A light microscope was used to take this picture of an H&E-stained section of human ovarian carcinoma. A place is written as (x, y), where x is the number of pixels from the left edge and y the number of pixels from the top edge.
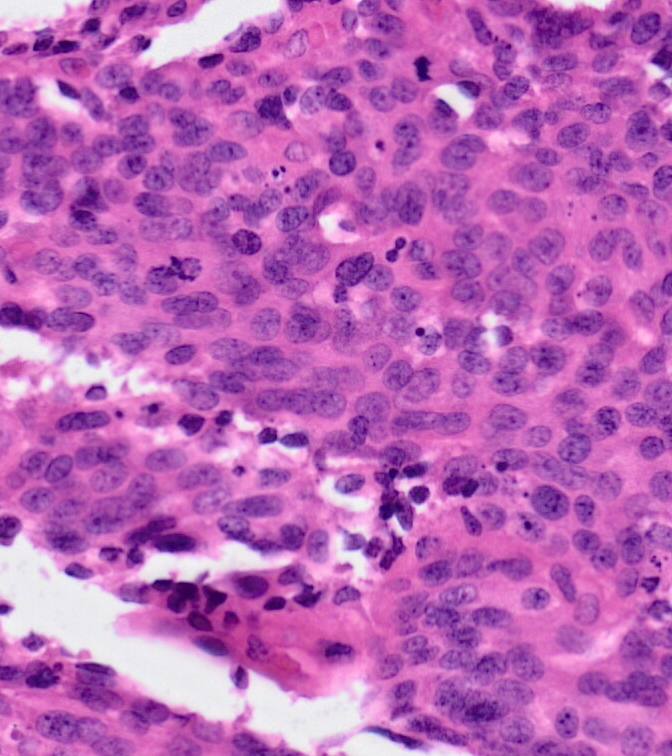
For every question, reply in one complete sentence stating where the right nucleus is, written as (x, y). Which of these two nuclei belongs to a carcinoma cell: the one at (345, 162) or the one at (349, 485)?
At (345, 162) lies the nucleus that belongs to a carcinoma cell.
